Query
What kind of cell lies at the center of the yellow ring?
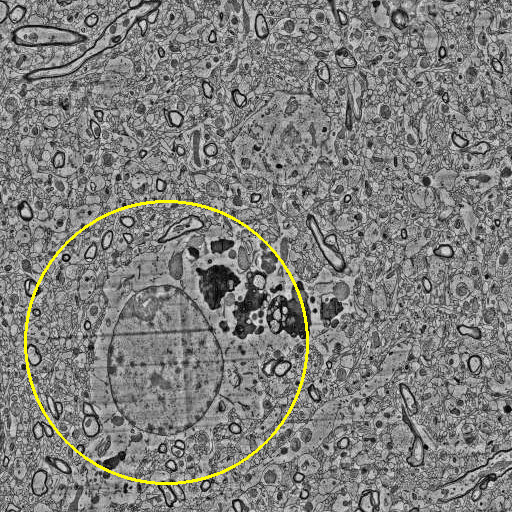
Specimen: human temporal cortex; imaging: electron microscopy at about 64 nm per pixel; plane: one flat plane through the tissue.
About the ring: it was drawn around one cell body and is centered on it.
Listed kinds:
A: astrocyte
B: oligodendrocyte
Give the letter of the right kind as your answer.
A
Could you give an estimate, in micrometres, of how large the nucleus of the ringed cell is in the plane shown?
In this plane the nucleus measures roughly 9 by 8 micrometres.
